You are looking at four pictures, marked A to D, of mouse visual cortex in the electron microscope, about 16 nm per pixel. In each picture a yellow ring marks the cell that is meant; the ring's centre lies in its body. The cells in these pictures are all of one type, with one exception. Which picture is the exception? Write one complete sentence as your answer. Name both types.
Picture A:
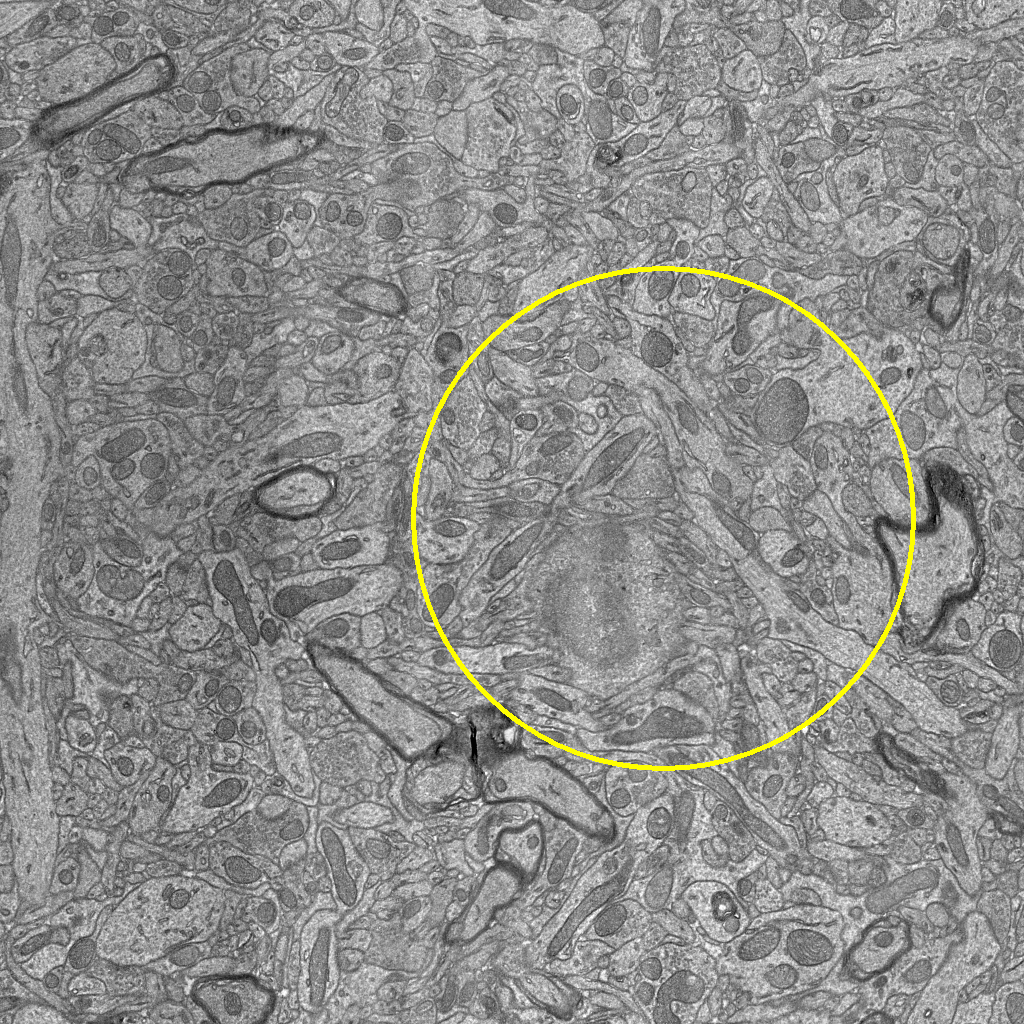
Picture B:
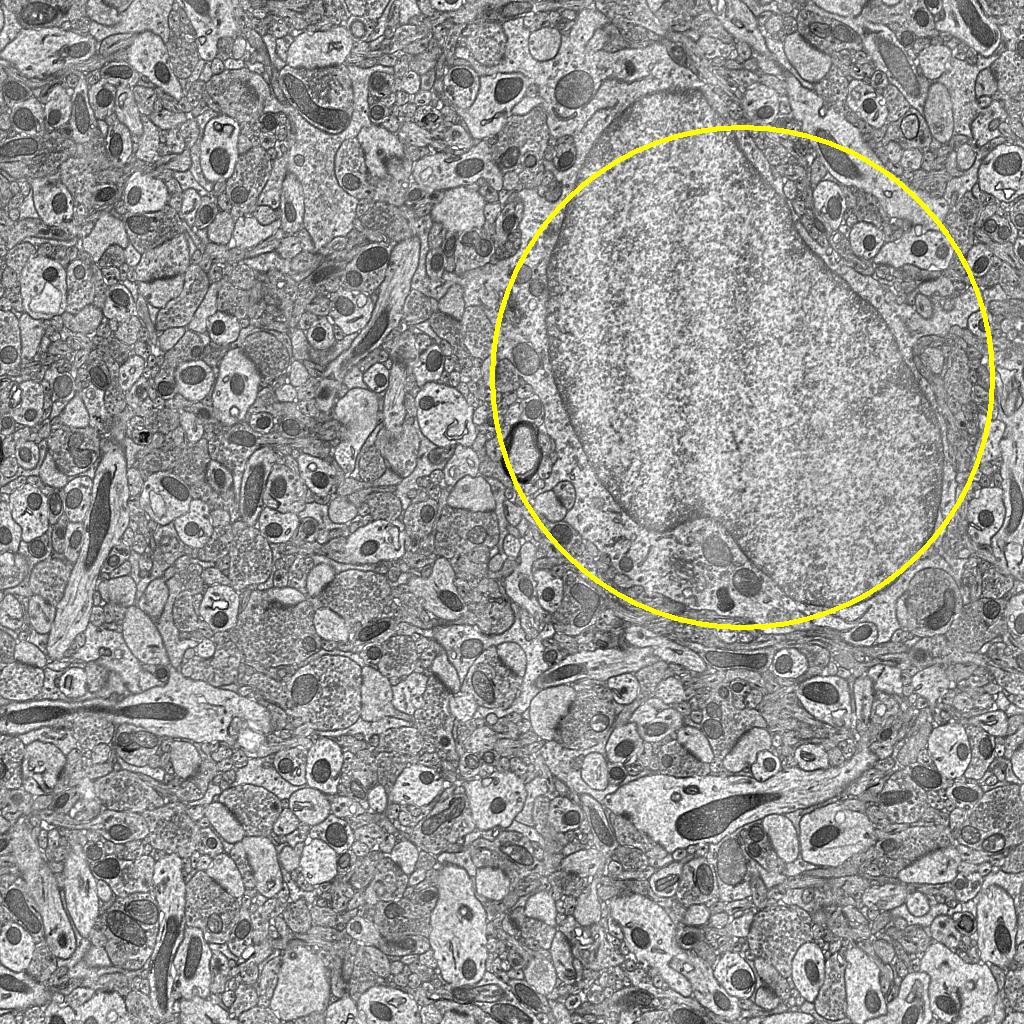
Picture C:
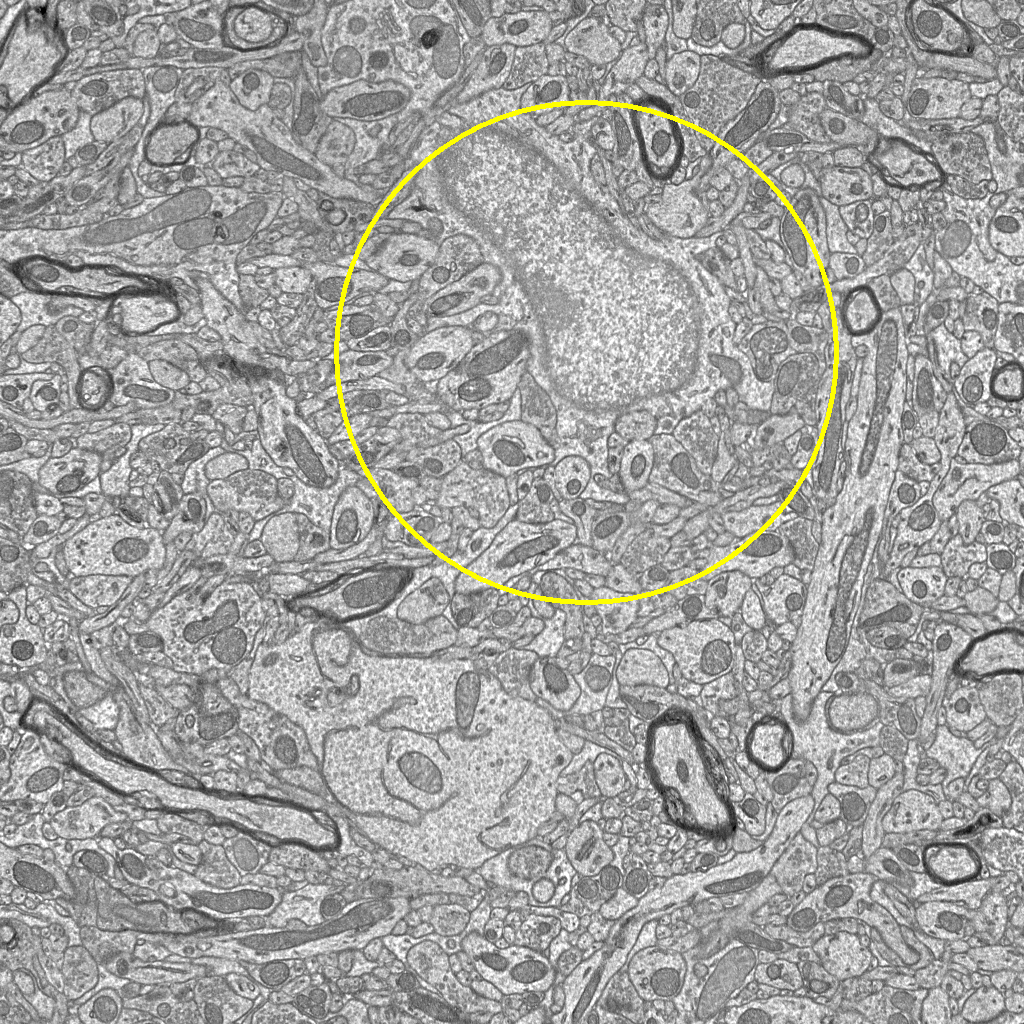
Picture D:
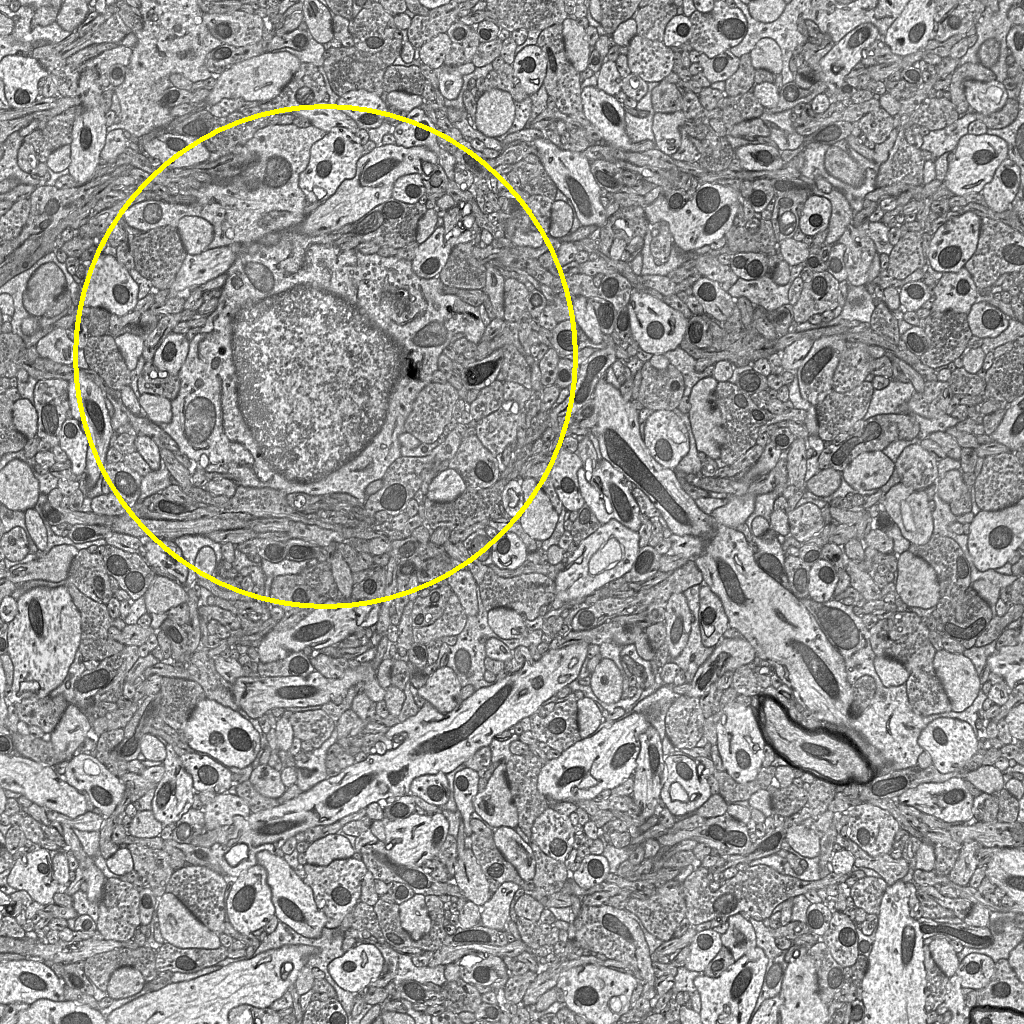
The different one is picture A; it shows an oligodendrocyte, whereas all the others show astrocytes.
